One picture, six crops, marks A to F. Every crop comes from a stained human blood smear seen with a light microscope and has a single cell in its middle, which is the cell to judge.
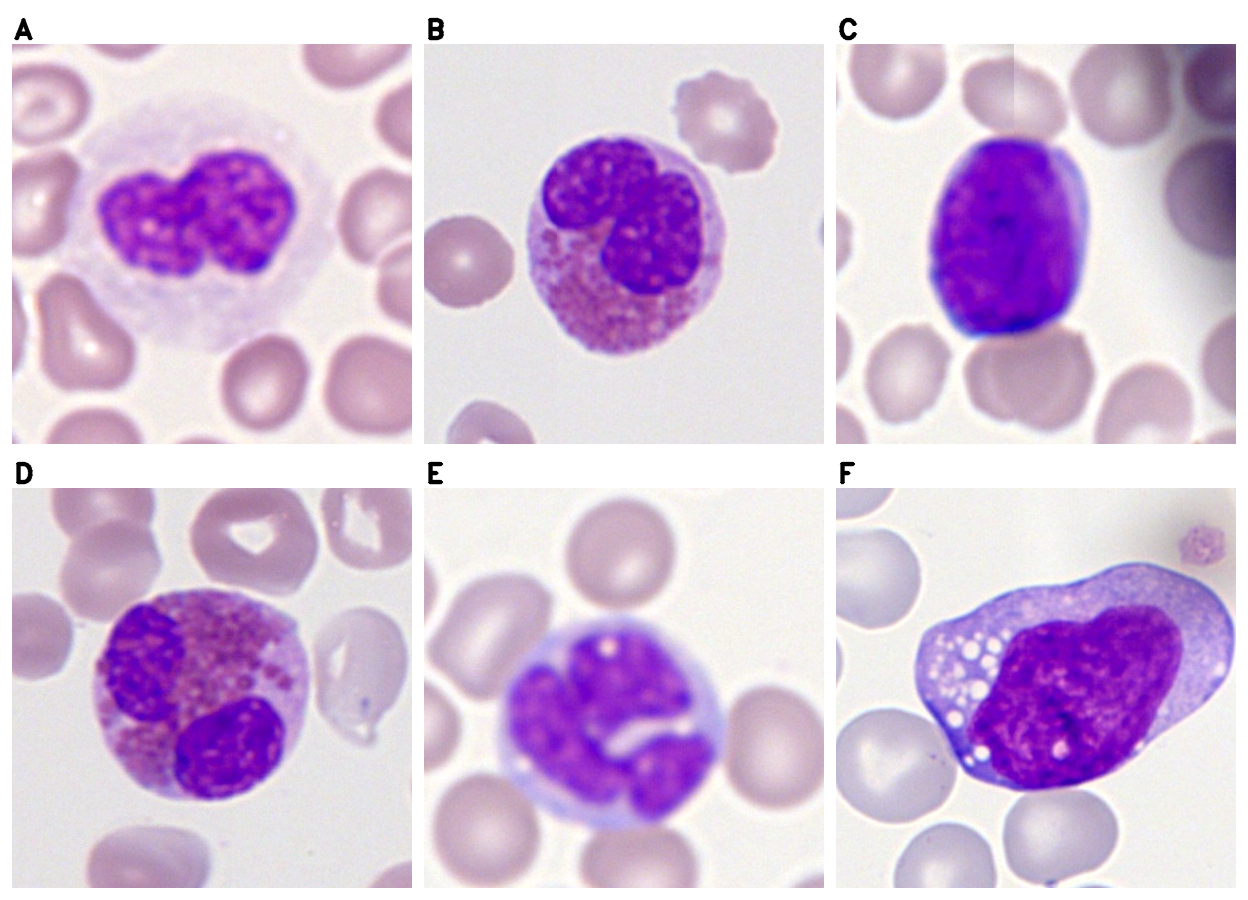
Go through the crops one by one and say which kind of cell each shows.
A: monocyte
B: eosinophil
C: myeloblast
D: eosinophil
E: monocyte
F: monocyte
